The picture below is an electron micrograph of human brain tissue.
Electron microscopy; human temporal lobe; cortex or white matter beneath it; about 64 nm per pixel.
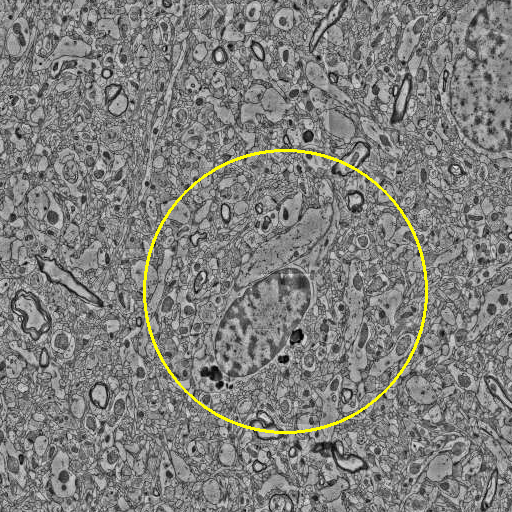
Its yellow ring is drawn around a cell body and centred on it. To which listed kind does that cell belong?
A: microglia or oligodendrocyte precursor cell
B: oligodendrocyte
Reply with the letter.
A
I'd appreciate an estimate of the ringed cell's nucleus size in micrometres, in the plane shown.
In this plane the nucleus is clearly longer than it is wide: roughly 7 by 4 micrometres.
